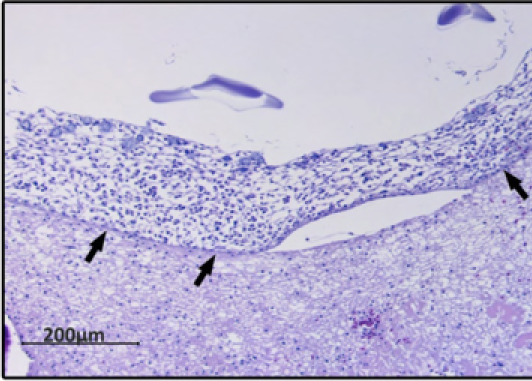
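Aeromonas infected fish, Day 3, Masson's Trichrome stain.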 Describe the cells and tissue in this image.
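A wound surface covered by a thick layer of densely packed, purple-nucleated cells is seen, its lower edge marked by a thin, darker, continuous row of cells that forms the basal layer of the epidermis, with overlying layers of keratinocytes above. Beneath this row lies paler, finely textured, loosely cellular tissue with small dark purple clusters. An open cleft separates part of the epidermal layer from the underlying tissue, and an empty space with a folded purple fragment lies above the surface. The arrangement suggests a newly forming epithelial covering over the wound bed.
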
